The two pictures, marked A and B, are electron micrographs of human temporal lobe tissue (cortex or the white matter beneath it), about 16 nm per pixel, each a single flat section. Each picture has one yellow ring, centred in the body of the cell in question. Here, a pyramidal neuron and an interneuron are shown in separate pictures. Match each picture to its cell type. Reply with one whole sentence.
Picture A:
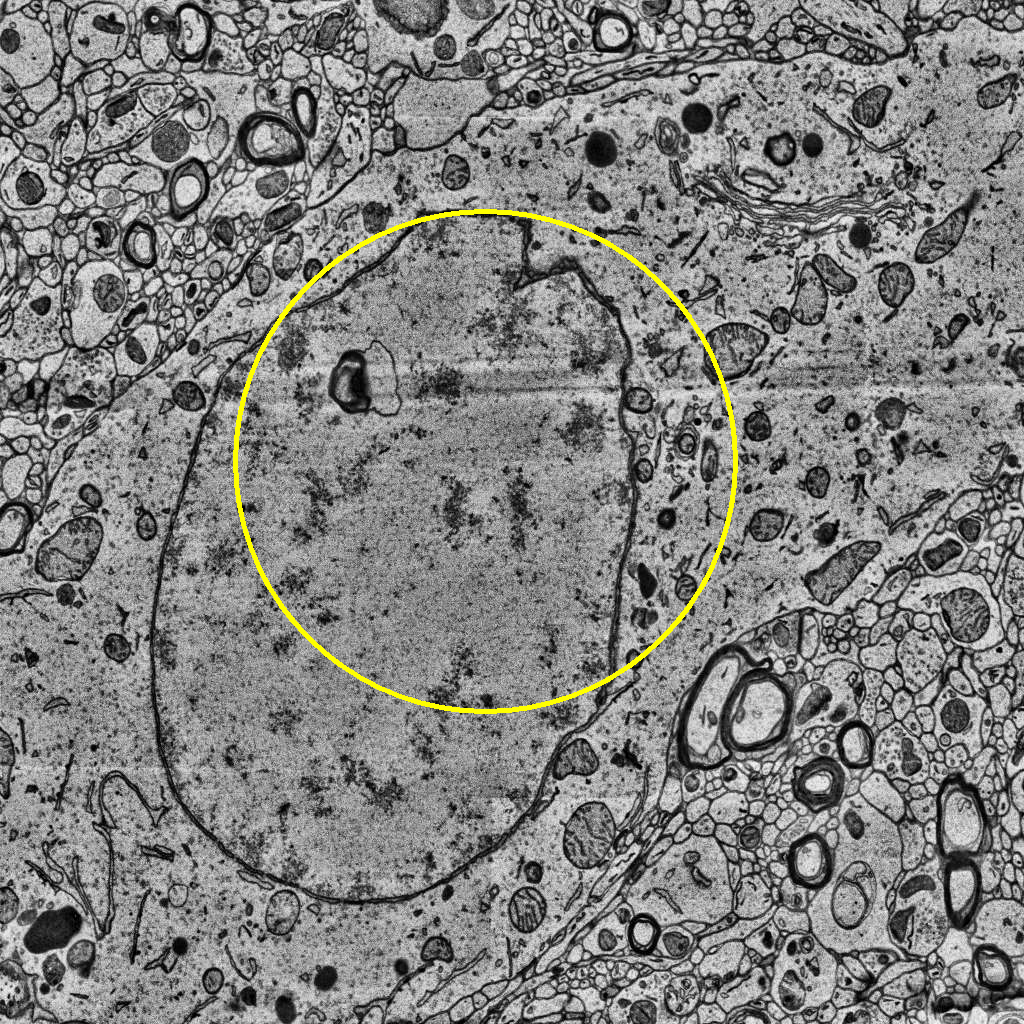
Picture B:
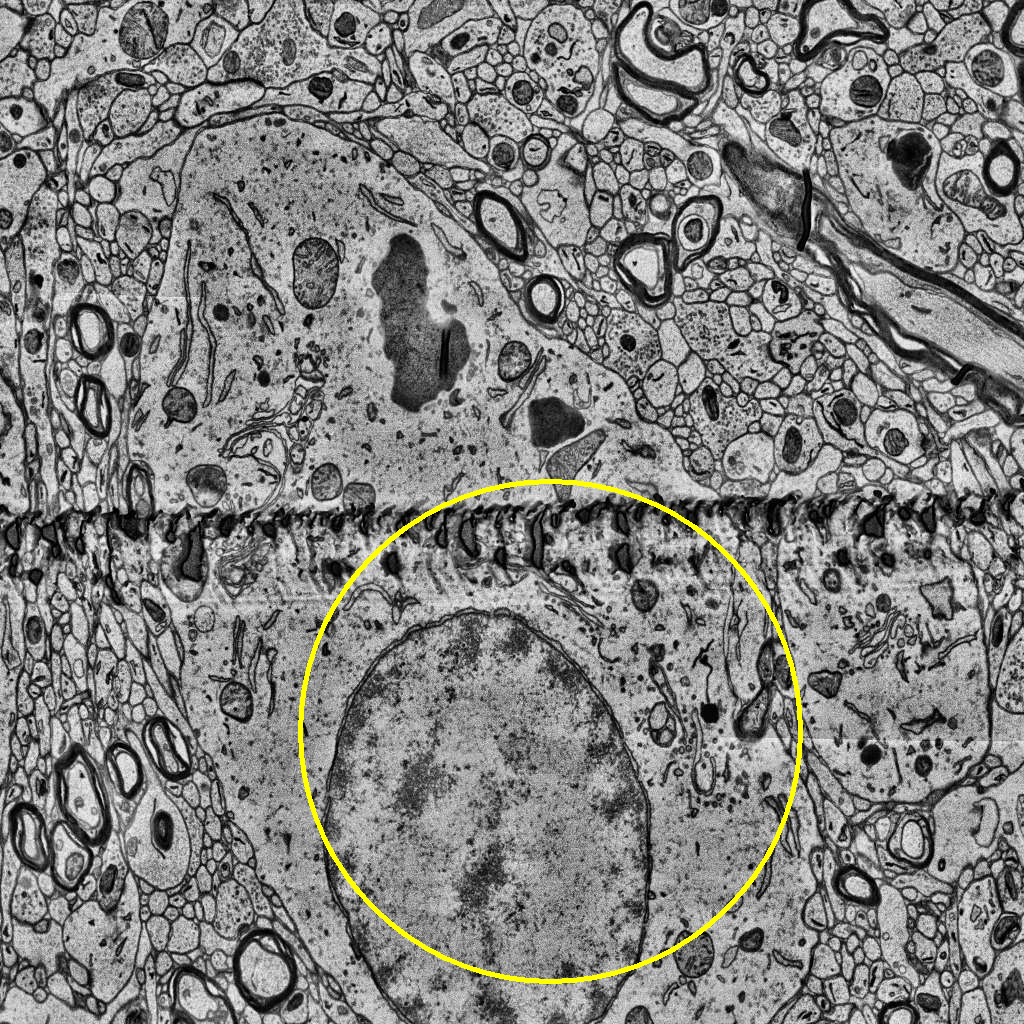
Picture A is of a pyramidal neuron, and picture B is of an interneuron.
